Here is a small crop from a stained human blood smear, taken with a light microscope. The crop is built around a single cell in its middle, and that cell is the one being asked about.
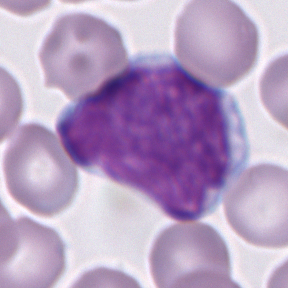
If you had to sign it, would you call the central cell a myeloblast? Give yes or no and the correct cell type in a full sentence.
Yes, the middle cell is classified as a myeloblast.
